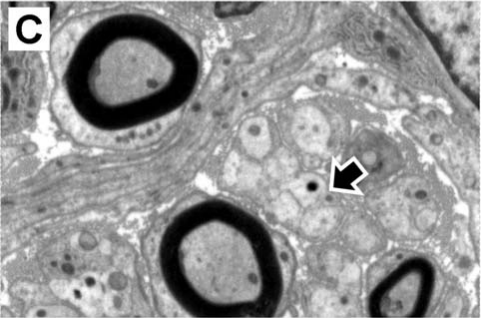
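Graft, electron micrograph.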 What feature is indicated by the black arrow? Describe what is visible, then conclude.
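The arrow points into a cluster of small pale rounded profiles. These profiles lack a dark ring, unlike the large black-ringed profiles nearby. The answer: Unmyelinated axons.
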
